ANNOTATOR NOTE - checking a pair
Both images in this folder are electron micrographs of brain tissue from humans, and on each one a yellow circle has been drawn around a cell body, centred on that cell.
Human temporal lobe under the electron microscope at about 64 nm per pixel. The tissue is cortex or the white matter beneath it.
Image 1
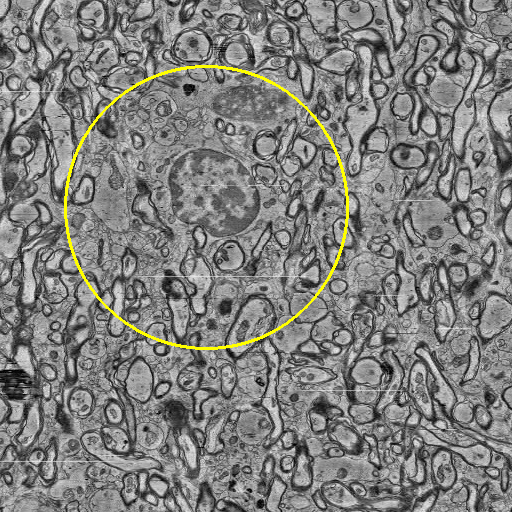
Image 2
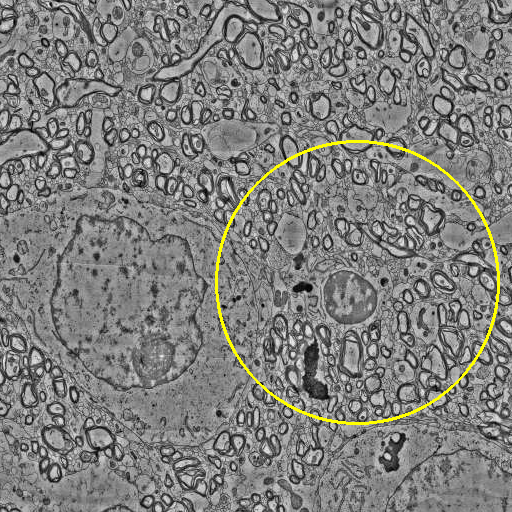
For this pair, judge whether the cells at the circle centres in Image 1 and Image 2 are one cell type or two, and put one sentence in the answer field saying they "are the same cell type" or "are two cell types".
For this pair, the cells at the circle centres in Images 1 and 2 are the same cell type.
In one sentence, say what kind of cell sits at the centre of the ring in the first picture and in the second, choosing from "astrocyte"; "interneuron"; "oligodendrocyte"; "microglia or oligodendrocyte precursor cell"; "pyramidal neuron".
The first and the second cell are each a microglial cell or oligodendrocyte precursor cell.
